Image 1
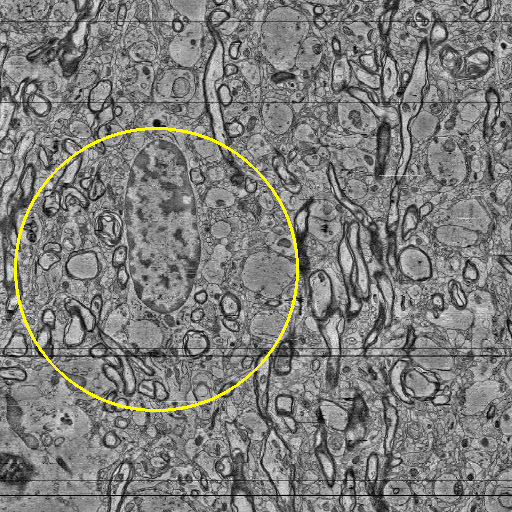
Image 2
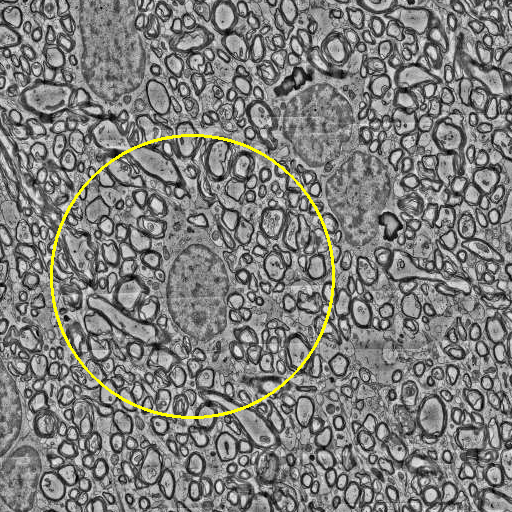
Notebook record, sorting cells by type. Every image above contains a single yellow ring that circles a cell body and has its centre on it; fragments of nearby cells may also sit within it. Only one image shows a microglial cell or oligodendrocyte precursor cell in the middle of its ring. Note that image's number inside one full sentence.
For image 1, the cell in the middle of its yellow ring is the match.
